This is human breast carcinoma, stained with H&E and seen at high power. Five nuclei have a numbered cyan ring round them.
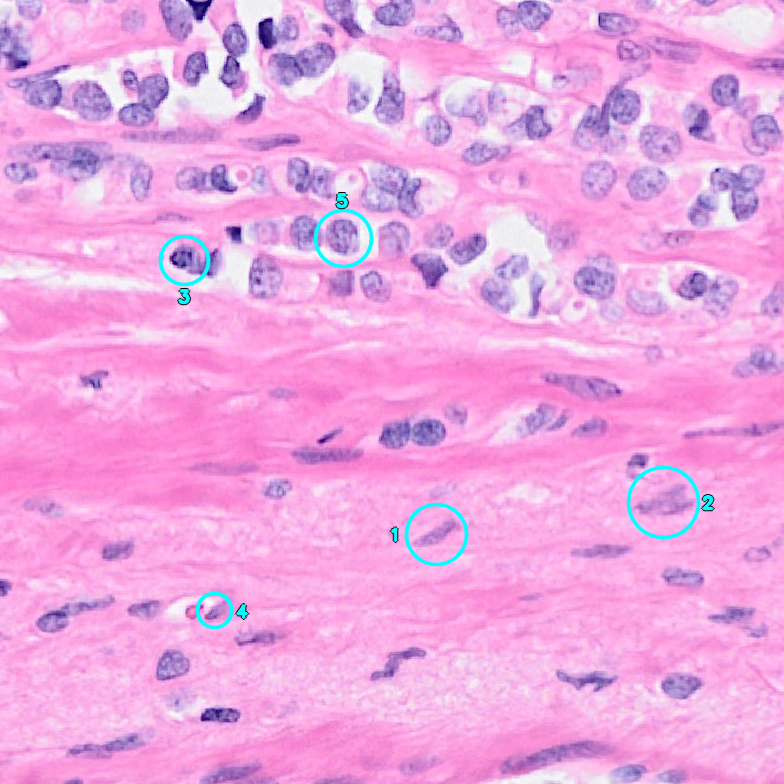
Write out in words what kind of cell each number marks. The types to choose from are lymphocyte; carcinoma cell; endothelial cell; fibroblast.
Cell 1 is a fibroblast, cell 2 is a fibroblast, cell 3 is a lymphocyte, cell 4 is an endothelial cell and cell 5 is a carcinoma cell.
